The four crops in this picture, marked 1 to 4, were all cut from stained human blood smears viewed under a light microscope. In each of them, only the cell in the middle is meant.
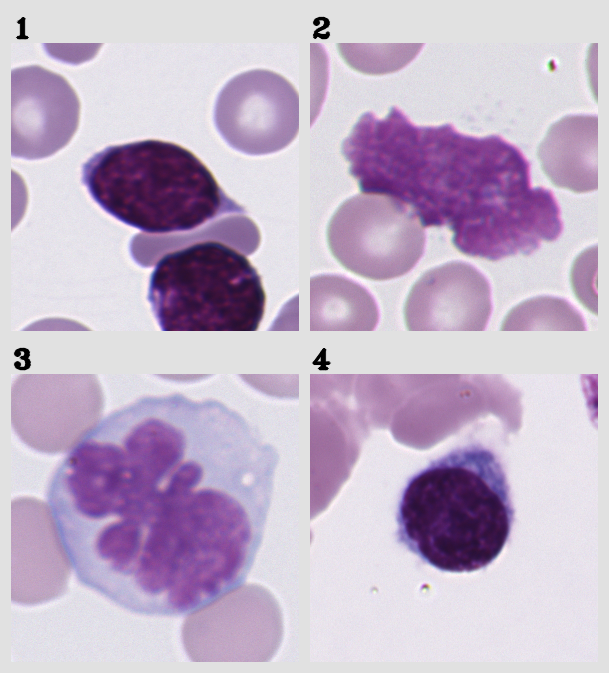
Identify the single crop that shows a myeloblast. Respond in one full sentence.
The crop showing a myeloblast in this series is crop 1.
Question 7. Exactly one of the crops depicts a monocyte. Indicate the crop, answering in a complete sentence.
In the set of crops, crop 3 is the one that contains a monocyte.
